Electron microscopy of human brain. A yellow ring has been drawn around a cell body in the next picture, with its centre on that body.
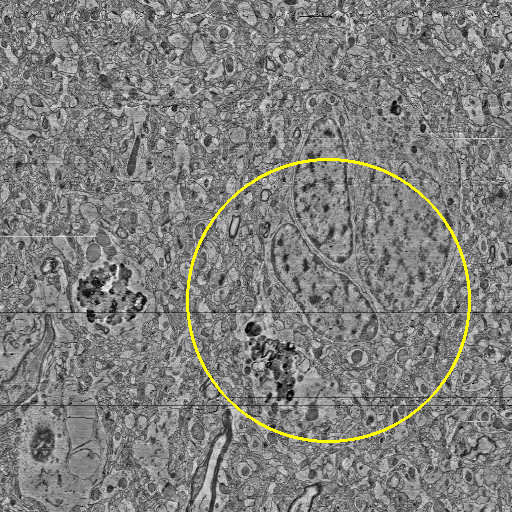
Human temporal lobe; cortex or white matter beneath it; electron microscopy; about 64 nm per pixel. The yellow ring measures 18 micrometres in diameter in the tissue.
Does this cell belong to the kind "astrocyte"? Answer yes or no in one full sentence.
No, the ringed cell in this picture, sitting at the ring's centre, is of another kind.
